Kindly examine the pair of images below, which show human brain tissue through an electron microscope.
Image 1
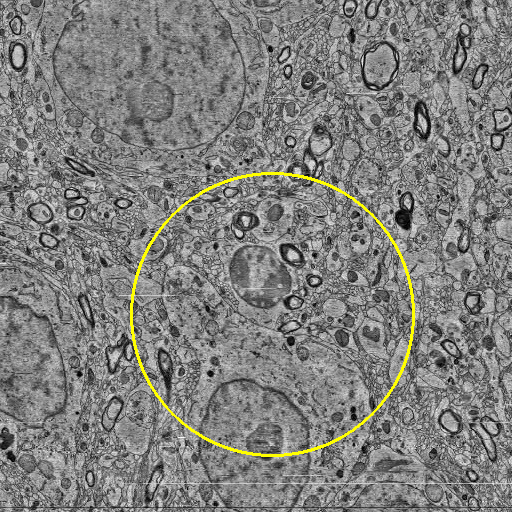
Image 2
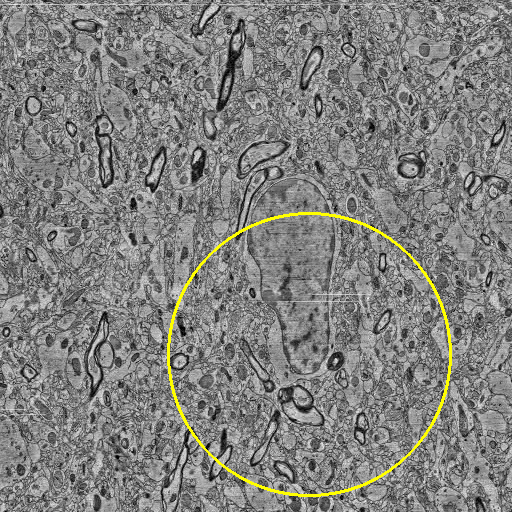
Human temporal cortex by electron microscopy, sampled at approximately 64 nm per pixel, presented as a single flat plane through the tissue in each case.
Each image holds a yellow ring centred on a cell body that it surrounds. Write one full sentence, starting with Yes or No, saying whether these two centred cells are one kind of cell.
Yes, both cells at the centres of the yellow rings belong to one kind of cell.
